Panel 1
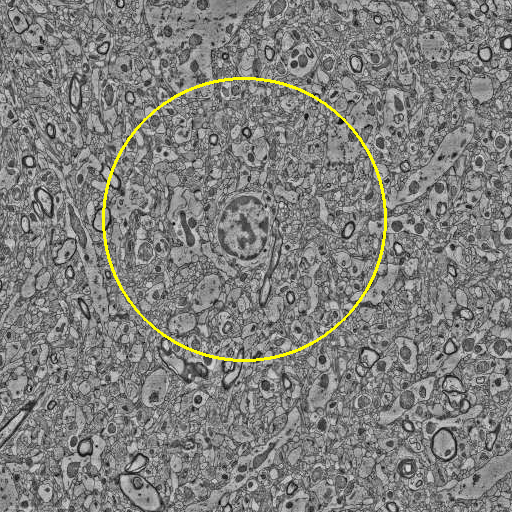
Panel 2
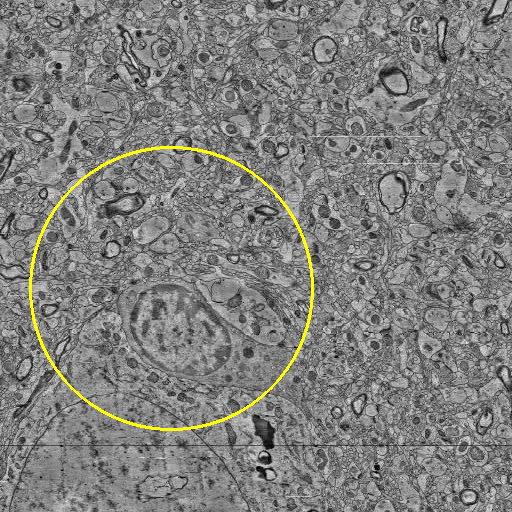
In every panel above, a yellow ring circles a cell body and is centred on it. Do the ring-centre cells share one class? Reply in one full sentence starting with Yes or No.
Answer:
No, the two cells at the ring centres in the panels belong to two classes.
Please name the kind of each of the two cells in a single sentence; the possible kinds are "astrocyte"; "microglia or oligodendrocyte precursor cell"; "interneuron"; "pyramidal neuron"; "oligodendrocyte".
In the first picture the ring is centred on a microglial cell or oligodendrocyte precursor cell, and in the second on an oligodendrocyte.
